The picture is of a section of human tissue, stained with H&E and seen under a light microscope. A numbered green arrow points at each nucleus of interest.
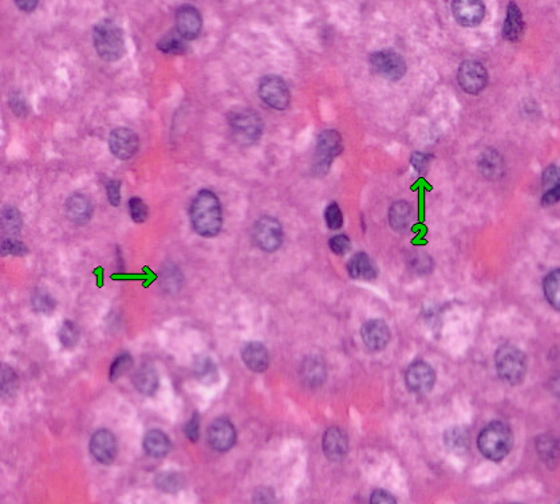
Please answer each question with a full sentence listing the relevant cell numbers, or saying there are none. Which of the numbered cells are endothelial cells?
Only the cell numbered 2 is an endothelial cell, and the others are something else.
